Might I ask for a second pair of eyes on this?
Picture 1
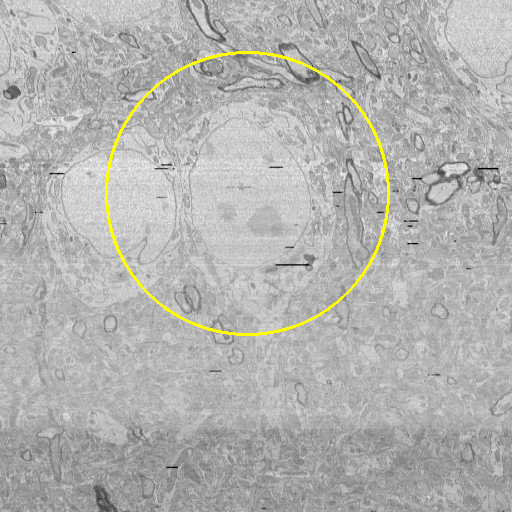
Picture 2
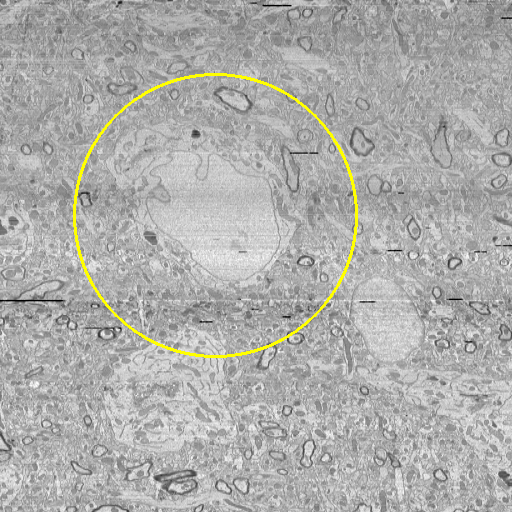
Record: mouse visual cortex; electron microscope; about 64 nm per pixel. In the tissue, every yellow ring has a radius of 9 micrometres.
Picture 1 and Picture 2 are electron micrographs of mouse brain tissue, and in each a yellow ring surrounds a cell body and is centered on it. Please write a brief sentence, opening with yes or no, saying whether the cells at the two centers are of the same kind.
Yes, the cells are of the same kind.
